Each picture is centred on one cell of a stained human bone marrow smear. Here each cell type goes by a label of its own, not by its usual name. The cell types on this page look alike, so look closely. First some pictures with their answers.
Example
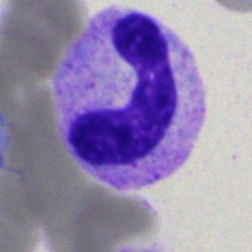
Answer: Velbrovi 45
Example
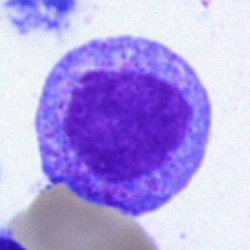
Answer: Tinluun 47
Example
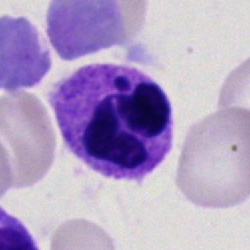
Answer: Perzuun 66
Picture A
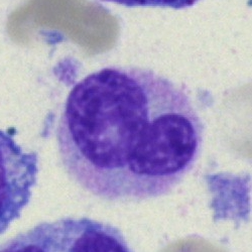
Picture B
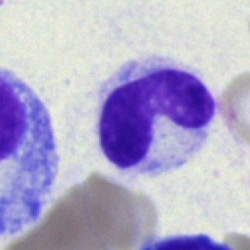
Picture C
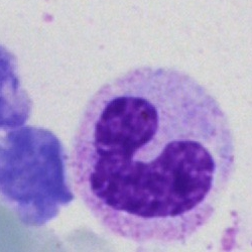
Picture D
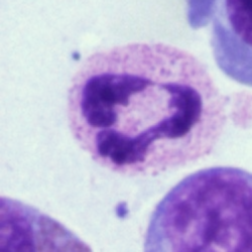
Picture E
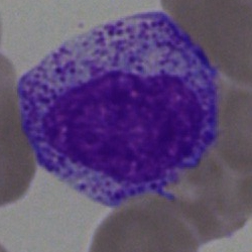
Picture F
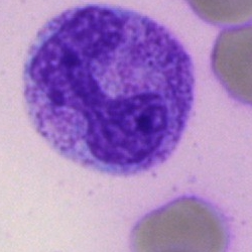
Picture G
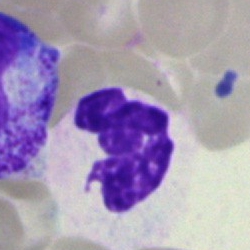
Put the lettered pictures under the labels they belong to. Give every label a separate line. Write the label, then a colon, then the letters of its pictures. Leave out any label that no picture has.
Velbrovi 45: A, B, C, F
Tinluun 47: E
Perzuun 66: D, G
